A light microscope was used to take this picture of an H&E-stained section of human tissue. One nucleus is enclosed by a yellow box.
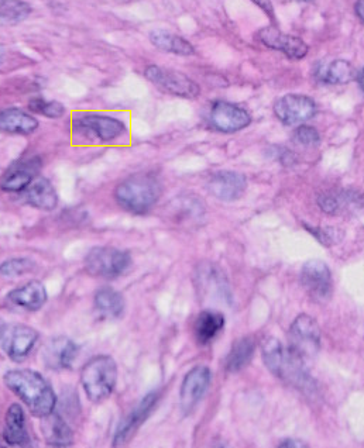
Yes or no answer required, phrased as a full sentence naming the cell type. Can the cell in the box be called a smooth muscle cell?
No, that is wrong: the cell in the box is a fibroblast, not a smooth muscle cell.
